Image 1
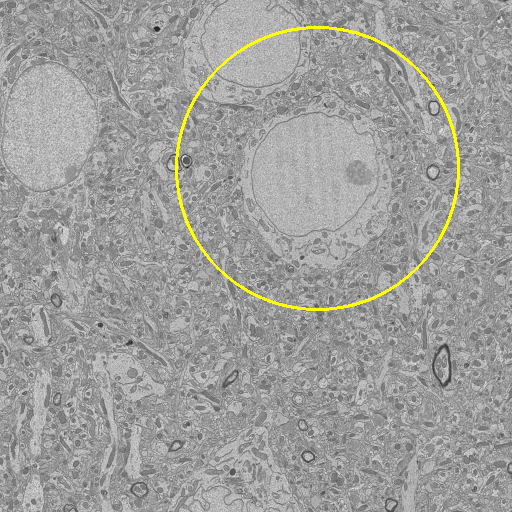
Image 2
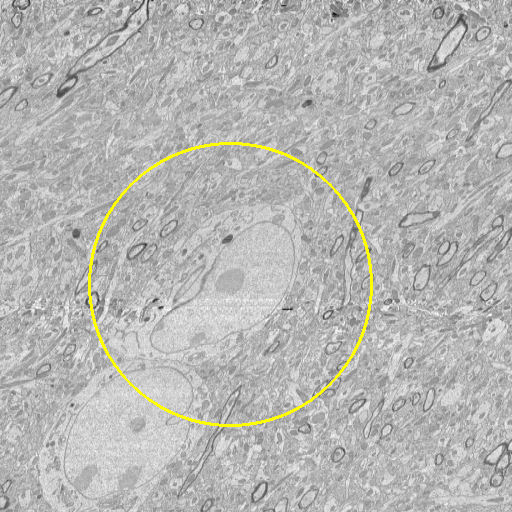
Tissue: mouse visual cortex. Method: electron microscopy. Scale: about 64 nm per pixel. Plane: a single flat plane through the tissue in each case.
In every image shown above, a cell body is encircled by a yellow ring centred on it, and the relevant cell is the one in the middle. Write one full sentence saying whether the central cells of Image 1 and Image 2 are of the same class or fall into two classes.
The cell at the ring's centre in Image 1 and its counterpart in Image 2 are of the same class.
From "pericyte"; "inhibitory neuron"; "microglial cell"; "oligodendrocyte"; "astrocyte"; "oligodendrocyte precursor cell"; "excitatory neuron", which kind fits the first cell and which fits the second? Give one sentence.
Each one of the two ringed cells is an excitatory neuron.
